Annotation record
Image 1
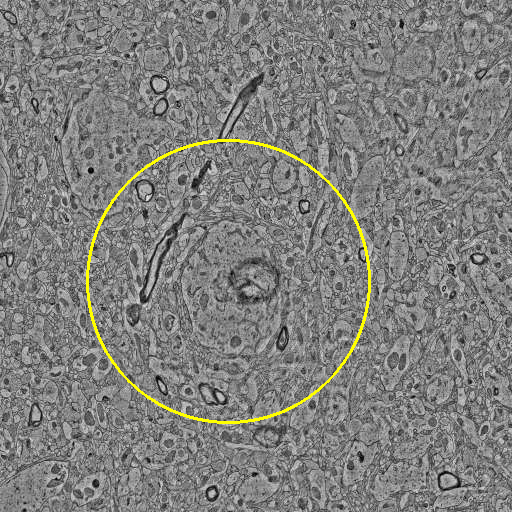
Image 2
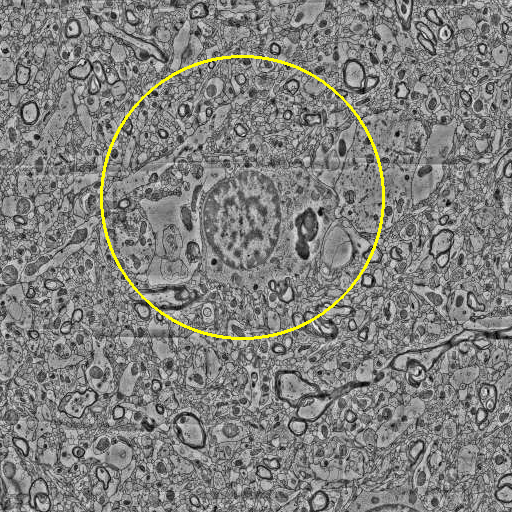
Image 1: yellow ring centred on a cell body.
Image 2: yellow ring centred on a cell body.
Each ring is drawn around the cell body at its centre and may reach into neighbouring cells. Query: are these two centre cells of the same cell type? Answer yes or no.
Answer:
no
